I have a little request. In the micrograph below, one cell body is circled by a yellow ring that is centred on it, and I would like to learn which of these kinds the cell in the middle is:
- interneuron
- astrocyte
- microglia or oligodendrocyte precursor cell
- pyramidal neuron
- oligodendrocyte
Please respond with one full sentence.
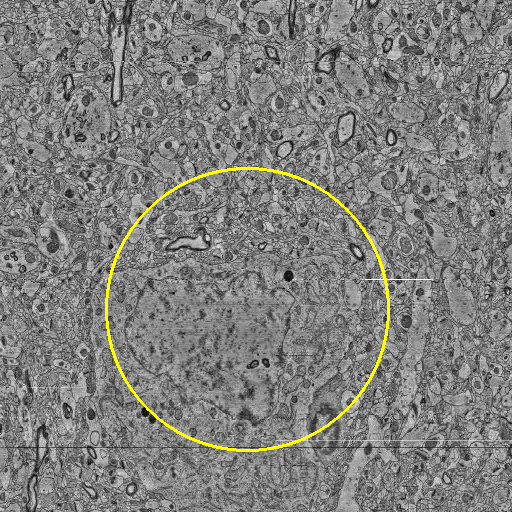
The cell sitting in the middle of the yellow ring in the micrograph is an interneuron.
